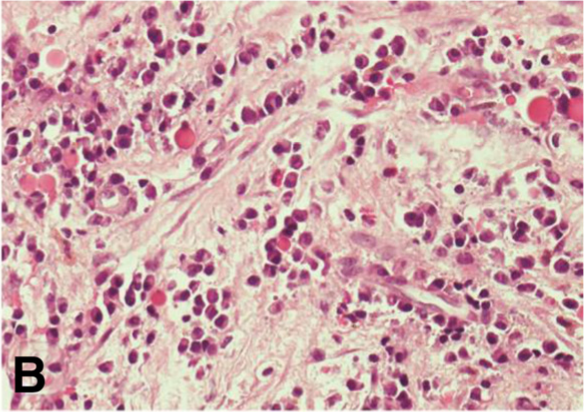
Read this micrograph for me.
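This field shows fibrous tissue scattered with plasma cells. Pale pink, loosely arranged fibres with occasional spindle-shaped nuclei run diagonally across the field. Among them lie many round cells with dark, eccentrically placed nuclei and a small rim of pink cytoplasm. Round, glassy, bright pink globules of varying size are dispersed between the cells. No glandular nests are seen in this area.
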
